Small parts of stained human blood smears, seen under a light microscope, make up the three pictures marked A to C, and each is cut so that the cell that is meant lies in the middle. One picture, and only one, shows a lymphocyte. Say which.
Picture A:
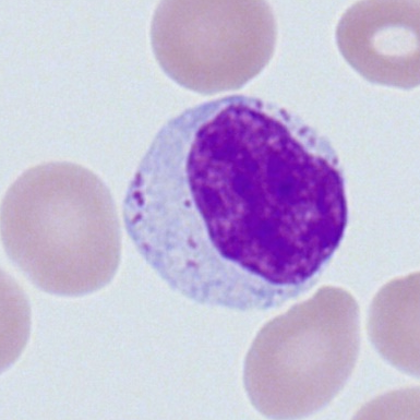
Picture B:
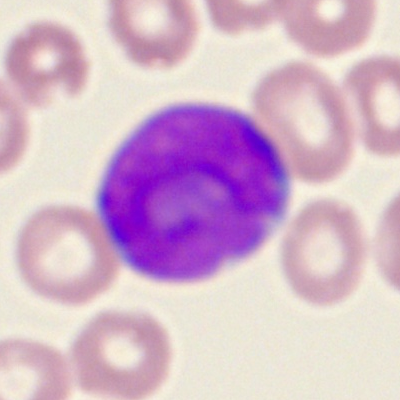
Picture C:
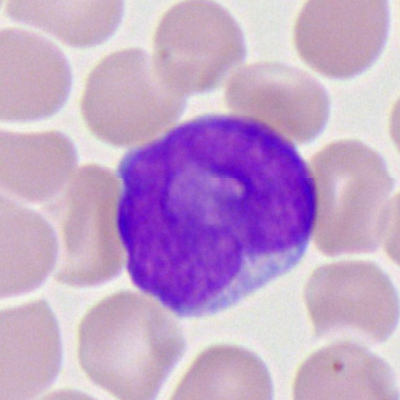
A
